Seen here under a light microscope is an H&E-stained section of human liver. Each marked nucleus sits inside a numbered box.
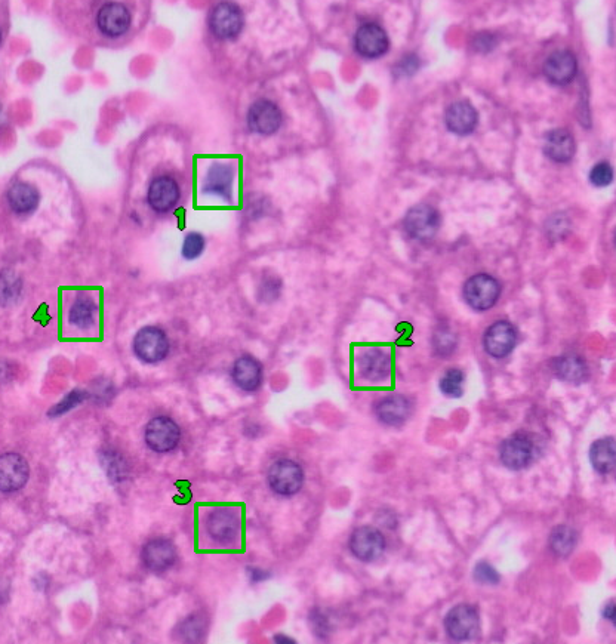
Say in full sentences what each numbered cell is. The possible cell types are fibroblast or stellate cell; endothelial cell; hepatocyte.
Cell 1 is an endothelial cell, cell 2 is a hepatocyte, cell 3 is a hepatocyte and cell 4 is a fibroblast or stellate cell.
